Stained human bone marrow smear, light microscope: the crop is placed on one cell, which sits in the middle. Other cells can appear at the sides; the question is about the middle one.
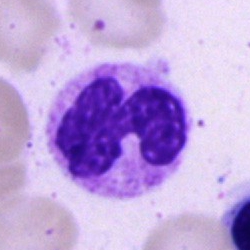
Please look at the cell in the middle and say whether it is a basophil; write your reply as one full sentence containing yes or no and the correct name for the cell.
No; rather than a basophil, the cell at the center is a segmented neutrophil.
